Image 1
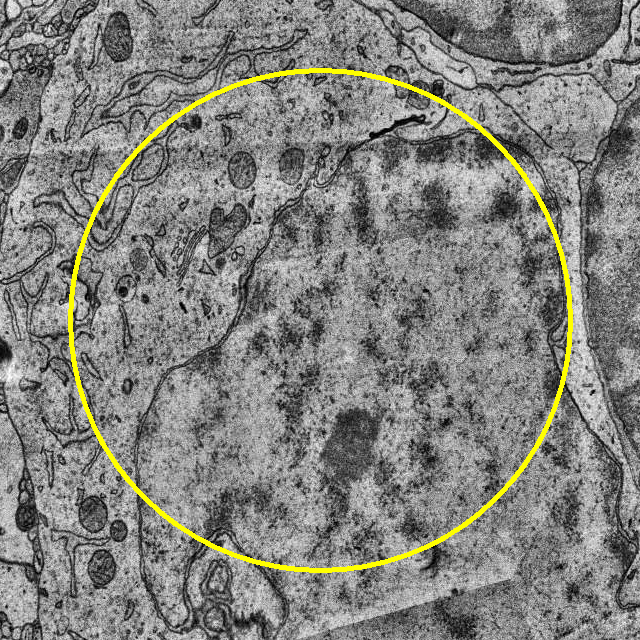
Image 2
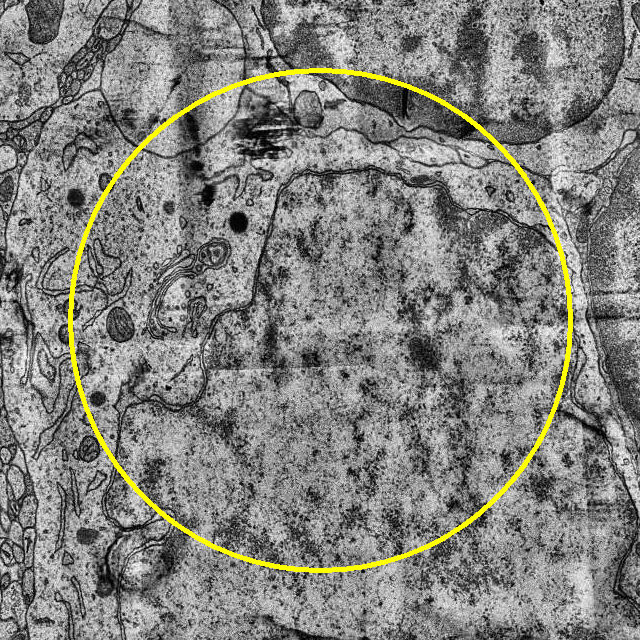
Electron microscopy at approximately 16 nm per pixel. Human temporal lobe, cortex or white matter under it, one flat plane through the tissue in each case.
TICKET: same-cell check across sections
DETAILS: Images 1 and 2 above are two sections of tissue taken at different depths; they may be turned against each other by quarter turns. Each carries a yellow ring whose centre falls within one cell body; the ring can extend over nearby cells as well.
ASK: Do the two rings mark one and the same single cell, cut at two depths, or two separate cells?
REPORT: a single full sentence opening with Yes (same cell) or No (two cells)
Yes, only one cell is involved, and both rings mark it.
